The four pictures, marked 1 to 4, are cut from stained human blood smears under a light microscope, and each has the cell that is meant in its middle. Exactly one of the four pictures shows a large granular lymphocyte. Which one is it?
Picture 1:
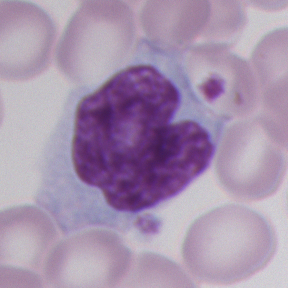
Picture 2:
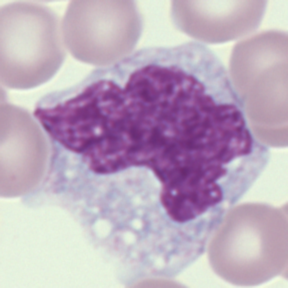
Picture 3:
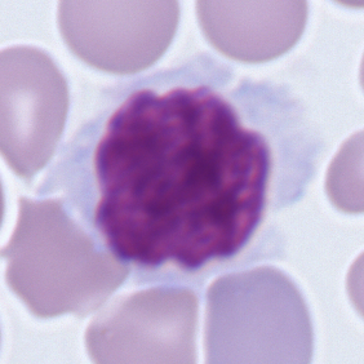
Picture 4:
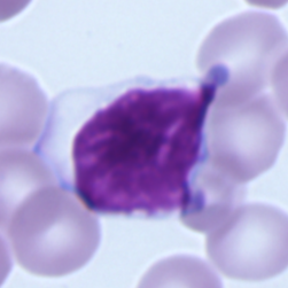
4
